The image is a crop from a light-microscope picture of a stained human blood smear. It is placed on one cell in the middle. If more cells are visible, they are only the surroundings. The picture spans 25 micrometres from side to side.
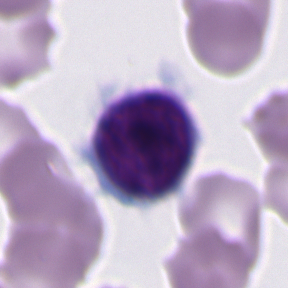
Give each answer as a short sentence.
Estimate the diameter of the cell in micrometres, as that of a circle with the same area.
About 10 micrometres: that is the cell's diameter.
